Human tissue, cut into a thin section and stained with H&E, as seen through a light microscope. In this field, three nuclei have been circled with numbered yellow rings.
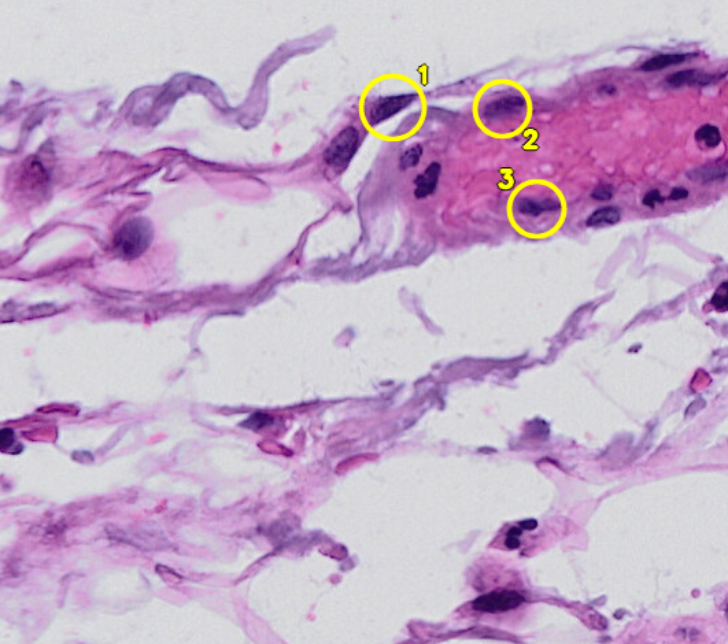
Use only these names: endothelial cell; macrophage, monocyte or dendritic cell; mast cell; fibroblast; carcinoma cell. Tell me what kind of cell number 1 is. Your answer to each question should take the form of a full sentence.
What the number 1 marks in this field is a fibroblast.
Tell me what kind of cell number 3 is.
Cell 3 is classified as an endothelial cell.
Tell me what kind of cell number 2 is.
Identified as an endothelial cell is the cell bearing the number 2.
